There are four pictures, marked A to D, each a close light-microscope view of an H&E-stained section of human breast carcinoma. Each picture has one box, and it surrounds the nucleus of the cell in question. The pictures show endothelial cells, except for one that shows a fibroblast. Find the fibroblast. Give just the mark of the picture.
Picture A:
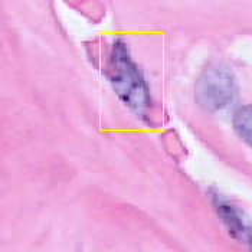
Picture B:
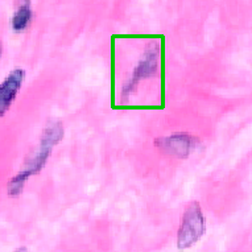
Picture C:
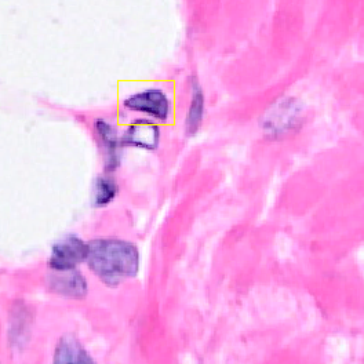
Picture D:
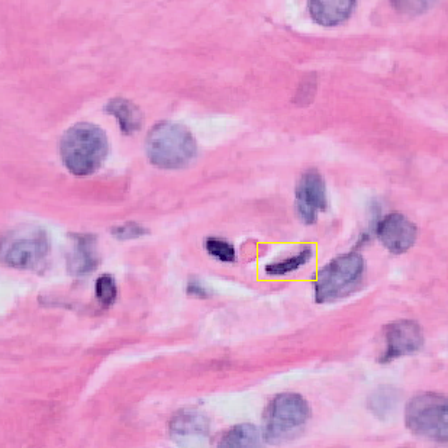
B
